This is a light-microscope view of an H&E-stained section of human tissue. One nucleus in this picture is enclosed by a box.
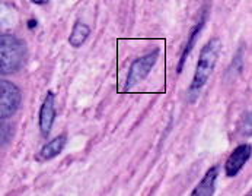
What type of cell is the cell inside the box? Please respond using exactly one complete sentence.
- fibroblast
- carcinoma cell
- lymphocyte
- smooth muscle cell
In this tissue sample, the cell inside the box is a fibroblast.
